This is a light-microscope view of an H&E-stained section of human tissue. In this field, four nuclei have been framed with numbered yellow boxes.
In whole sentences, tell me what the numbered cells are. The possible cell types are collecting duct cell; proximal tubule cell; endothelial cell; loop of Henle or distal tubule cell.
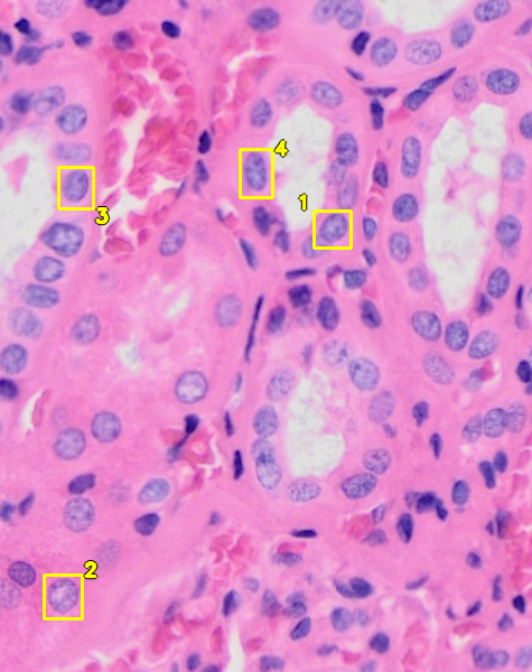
Cell 1 is a collecting duct cell, cell 2 is a proximal tubule cell, cell 3 is a collecting duct cell and cell 4 is a collecting duct cell.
